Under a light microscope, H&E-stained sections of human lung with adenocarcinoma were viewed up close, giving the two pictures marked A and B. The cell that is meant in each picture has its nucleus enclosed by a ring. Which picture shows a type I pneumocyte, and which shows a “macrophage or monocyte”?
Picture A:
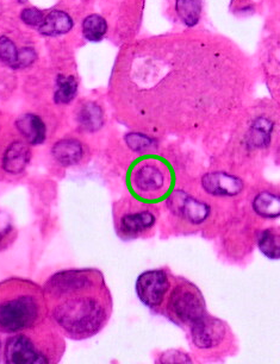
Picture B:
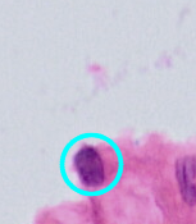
A: macrophage or monocyte
B: type I pneumocyte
